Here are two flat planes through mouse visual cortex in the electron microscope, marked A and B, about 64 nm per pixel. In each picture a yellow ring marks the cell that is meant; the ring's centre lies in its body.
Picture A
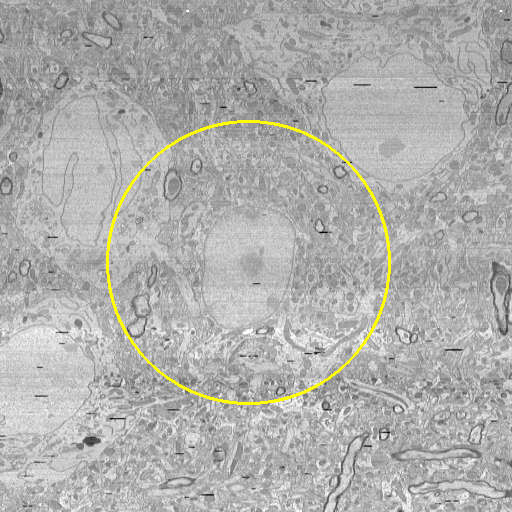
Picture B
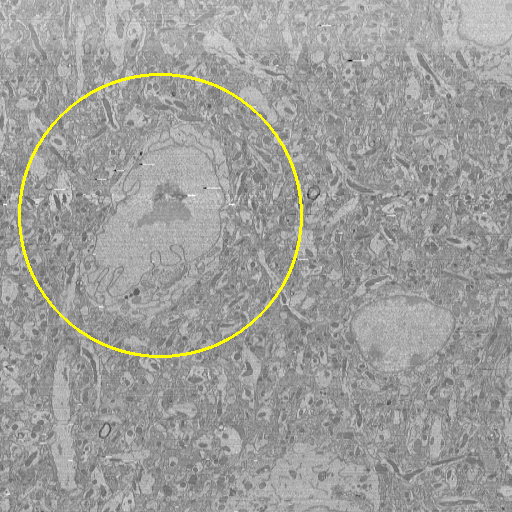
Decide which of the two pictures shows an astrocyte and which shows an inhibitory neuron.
In picture A the cell is an astrocyte; in picture B, an inhibitory neuron.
